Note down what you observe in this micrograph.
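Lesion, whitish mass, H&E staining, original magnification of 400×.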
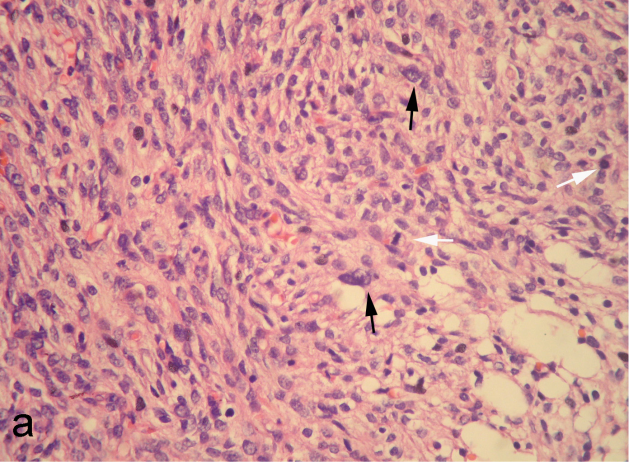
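Densely cellular tumour of spindle to oval cells with purple nuclei in pink fibrillary stroma, with scattered clear vacuolated spaces at the right. Nuclei vary in size and shape, some enlarged, irregular and hyperchromatic, and occasional cells show dense dark condensed nuclear material.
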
